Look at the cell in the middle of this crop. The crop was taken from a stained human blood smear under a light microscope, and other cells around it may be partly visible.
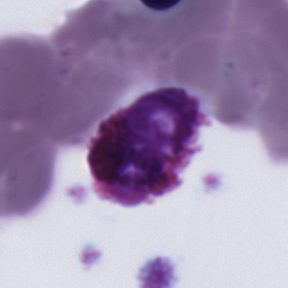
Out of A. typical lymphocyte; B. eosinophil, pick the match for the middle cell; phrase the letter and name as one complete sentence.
The cell at the heart of the crop is an eosinophil, so choose option B.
